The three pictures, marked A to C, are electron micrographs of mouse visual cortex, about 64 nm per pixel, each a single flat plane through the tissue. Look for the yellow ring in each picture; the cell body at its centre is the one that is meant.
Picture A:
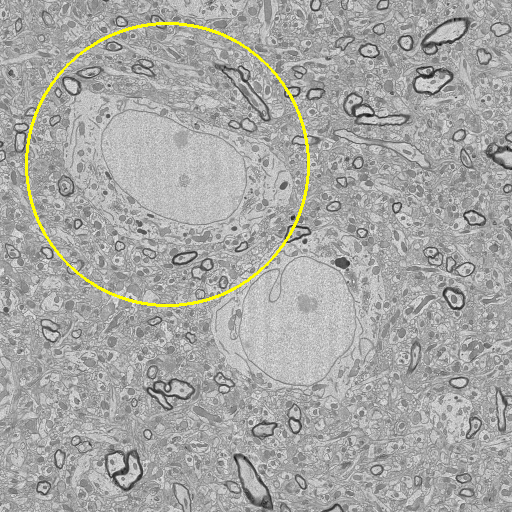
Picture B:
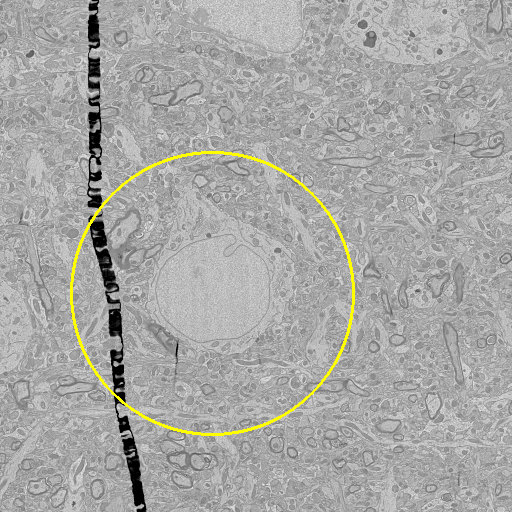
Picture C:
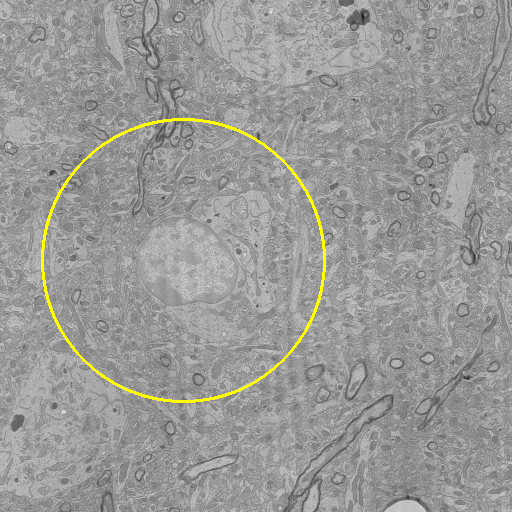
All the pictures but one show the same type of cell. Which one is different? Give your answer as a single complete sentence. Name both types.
Picture C differs, because its cell is an oligodendrocyte and the rest are excitatory neurons.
